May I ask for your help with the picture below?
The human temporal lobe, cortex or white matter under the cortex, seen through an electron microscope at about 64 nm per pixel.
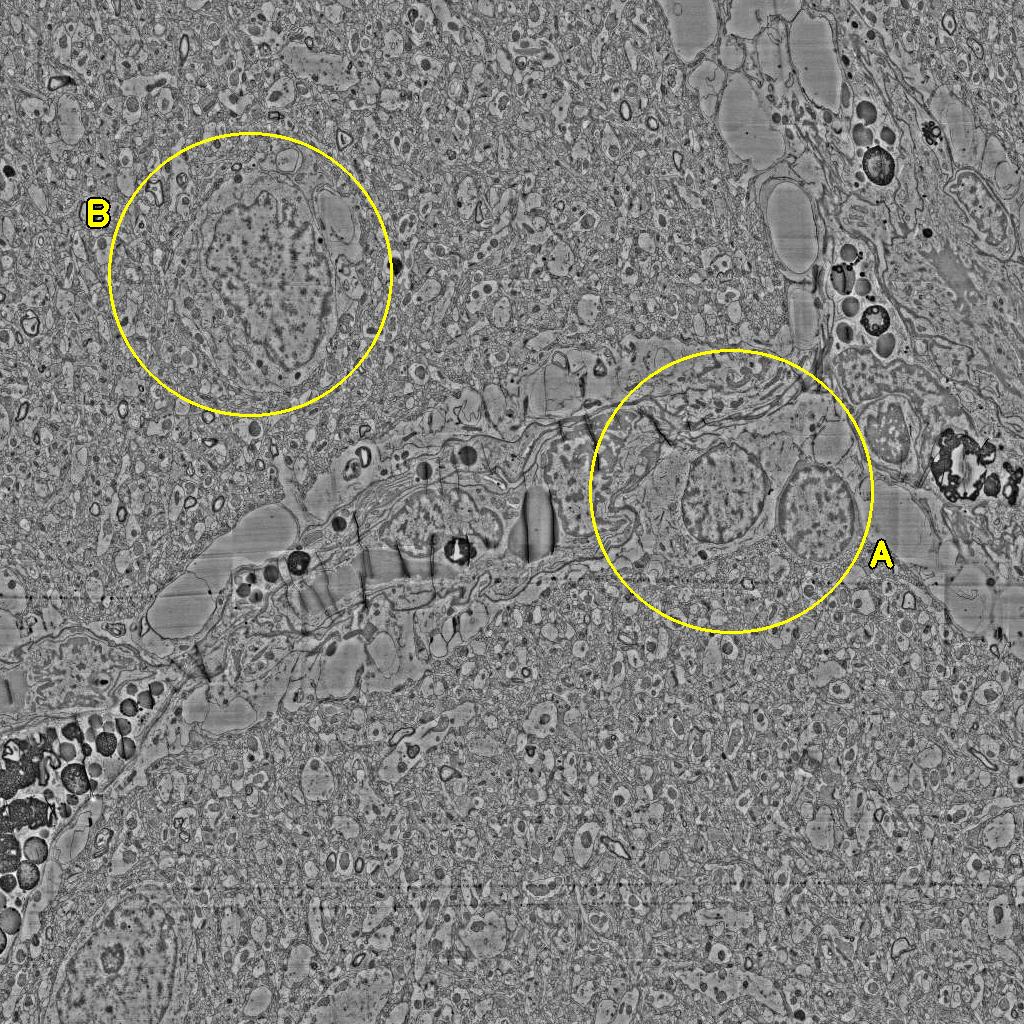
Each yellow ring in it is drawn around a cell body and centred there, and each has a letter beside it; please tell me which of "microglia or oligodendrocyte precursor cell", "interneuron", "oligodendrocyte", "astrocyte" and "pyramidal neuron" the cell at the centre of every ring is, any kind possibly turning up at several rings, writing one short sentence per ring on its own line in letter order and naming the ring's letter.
Ring A is drawn around the cell body of a microglial cell or oligodendrocyte precursor cell.
Ring B is drawn around the cell body of an interneuron.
